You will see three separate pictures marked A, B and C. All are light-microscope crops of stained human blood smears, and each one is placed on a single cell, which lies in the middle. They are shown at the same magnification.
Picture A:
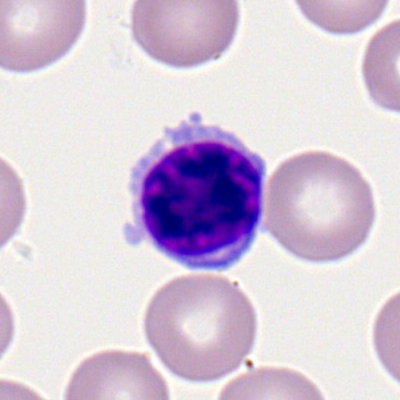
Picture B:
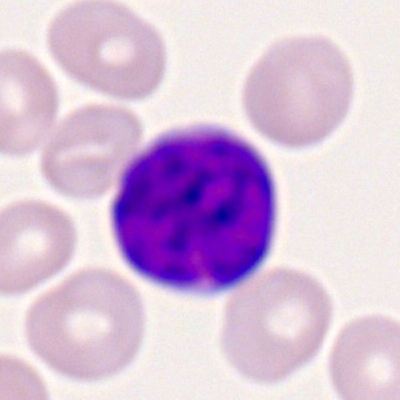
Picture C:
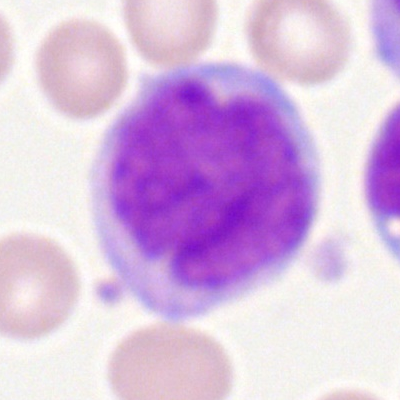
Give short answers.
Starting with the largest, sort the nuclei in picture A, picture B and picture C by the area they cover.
C, B, A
